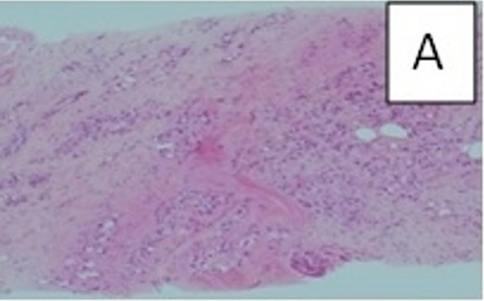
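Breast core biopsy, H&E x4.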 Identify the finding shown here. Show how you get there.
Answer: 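Infiltrated by neoplastic cells. A strip of core tissue with pink fibrous stroma. Nests and cords of cells with pale cytoplasm spread through the stroma.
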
